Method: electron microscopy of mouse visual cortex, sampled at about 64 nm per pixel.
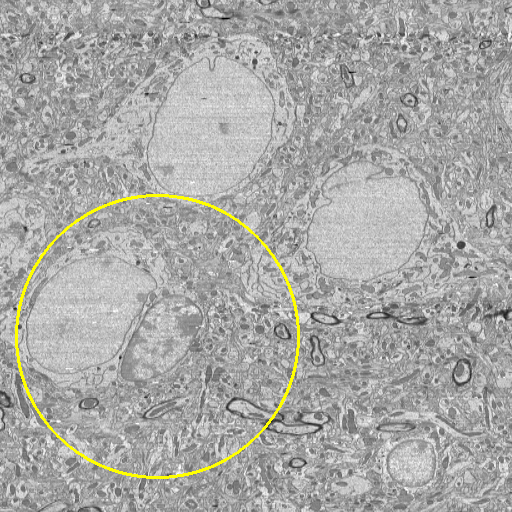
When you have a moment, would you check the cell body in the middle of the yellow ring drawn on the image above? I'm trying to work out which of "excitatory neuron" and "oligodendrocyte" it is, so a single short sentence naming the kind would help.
This cell body belongs to an oligodendrocyte.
